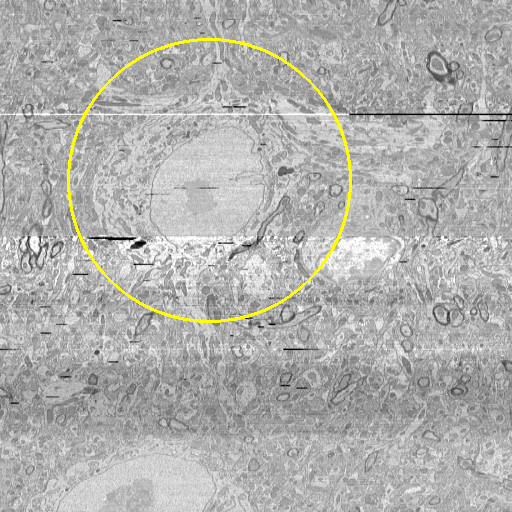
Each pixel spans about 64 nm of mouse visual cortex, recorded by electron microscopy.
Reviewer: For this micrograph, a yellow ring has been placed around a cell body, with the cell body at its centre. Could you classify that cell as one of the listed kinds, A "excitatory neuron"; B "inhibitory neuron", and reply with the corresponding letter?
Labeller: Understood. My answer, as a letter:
B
